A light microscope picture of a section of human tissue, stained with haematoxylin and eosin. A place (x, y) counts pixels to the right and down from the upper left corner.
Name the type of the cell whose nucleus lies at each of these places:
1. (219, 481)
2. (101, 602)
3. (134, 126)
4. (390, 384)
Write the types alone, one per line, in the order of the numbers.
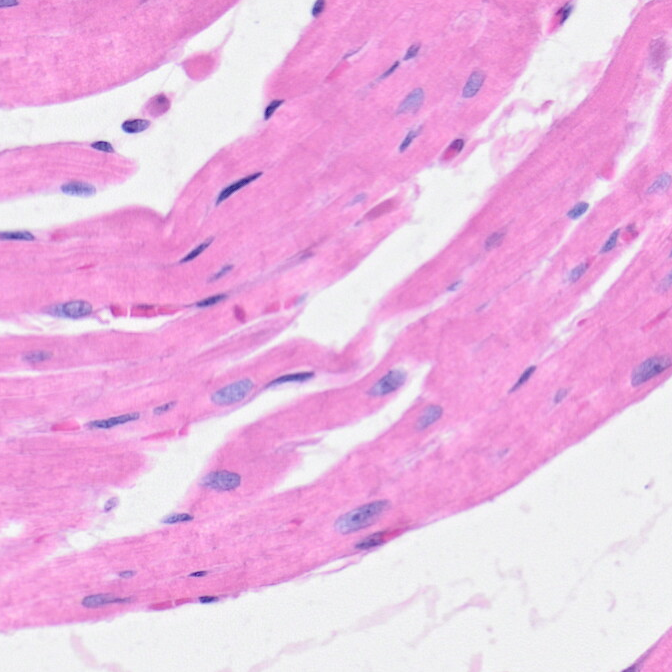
cardiomyocyte
cardiomyocyte
fibroblast
cardiomyocyte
